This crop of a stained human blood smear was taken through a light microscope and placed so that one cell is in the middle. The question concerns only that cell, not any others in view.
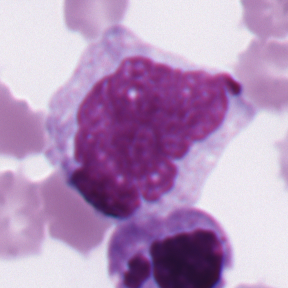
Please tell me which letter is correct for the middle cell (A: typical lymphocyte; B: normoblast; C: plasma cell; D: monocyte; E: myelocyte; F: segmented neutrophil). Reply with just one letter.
D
